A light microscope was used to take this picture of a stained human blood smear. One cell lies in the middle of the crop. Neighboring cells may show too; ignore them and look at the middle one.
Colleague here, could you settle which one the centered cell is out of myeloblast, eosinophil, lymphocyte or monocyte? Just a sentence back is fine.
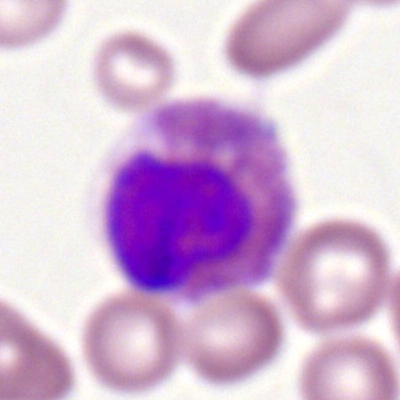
At the center of the crop sits an eosinophil.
